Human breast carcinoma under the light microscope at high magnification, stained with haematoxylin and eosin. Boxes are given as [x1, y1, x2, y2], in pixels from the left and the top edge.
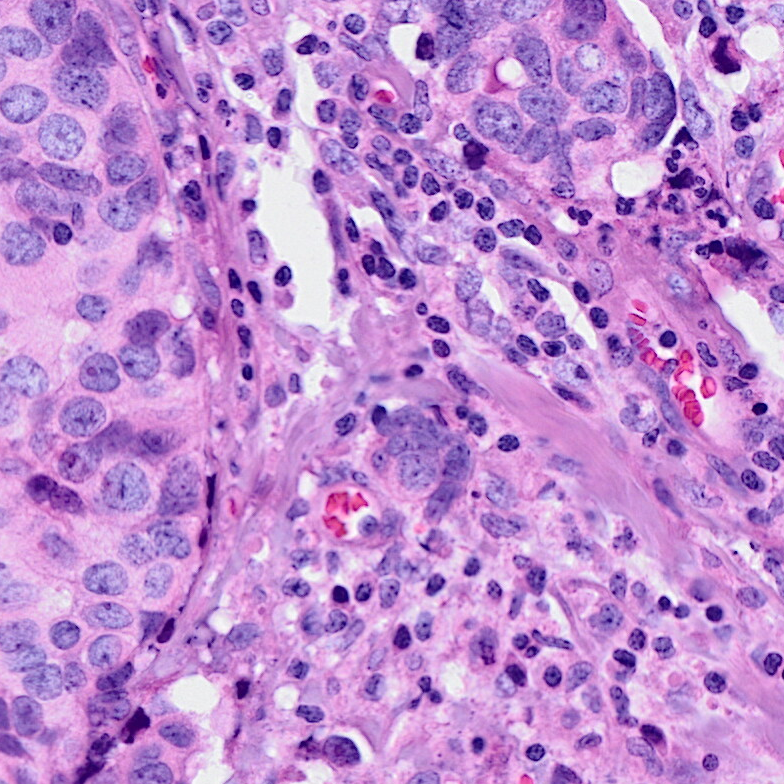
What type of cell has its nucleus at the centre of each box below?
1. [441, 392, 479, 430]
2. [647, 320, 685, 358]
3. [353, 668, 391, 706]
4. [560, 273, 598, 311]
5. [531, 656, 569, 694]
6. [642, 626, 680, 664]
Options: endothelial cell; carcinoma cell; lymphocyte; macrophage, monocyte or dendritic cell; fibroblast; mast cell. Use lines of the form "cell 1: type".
cell 1: lymphocyte
cell 2: lymphocyte
cell 3: macrophage, monocyte or dendritic cell
cell 4: lymphocyte
cell 5: mast cell
cell 6: mast cell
